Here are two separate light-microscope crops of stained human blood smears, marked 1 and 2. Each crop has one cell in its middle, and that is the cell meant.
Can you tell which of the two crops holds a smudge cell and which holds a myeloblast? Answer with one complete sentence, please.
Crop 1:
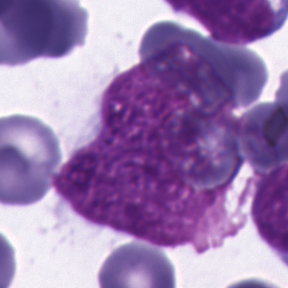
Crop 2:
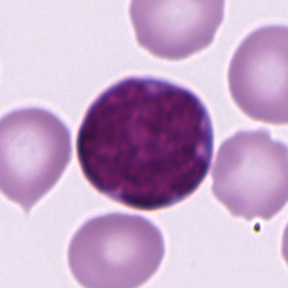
Crop 1 and crop 2 are a smudge cell and a myeloblast, in that order.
